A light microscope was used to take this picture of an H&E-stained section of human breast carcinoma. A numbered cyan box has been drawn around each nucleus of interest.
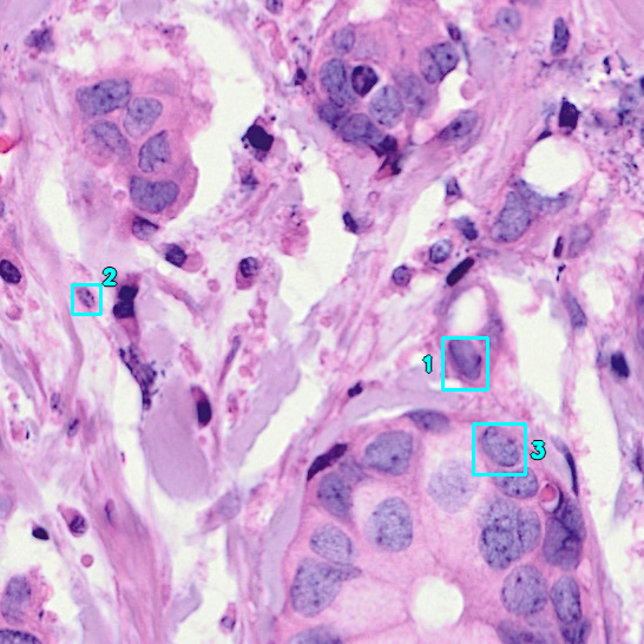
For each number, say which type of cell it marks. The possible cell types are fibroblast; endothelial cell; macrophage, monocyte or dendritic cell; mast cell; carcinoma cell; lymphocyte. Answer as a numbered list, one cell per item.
1. carcinoma cell
2. mast cell
3. carcinoma cell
